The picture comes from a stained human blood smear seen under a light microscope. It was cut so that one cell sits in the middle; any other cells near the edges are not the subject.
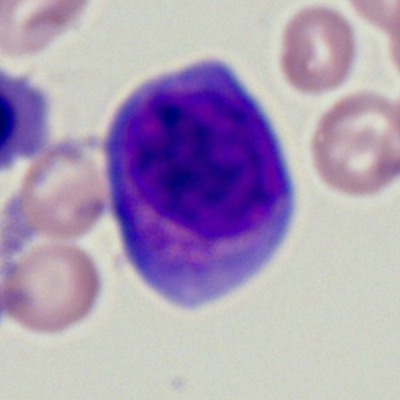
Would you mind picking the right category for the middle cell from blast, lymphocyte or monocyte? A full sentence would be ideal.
The central element of this crop is a cell, namely a blast.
